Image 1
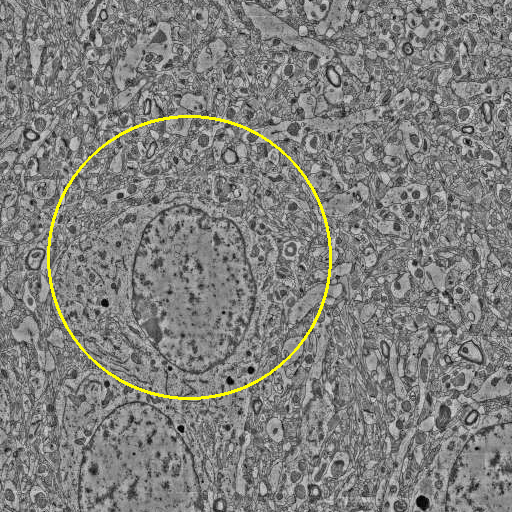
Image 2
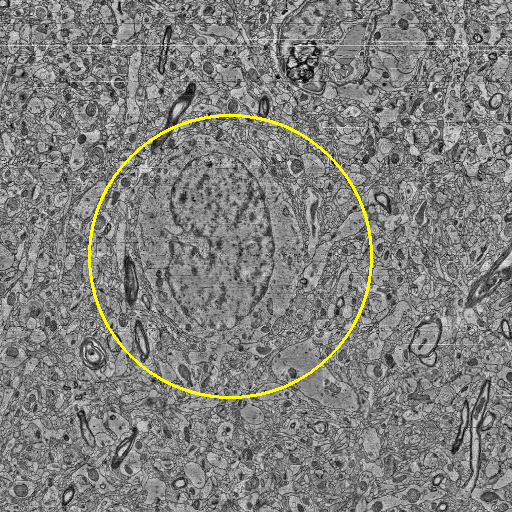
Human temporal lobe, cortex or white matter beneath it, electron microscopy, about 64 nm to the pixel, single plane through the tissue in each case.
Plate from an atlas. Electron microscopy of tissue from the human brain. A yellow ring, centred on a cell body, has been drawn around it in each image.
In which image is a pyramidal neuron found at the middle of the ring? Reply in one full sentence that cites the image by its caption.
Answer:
The requested cell is the one at the ring's centre in Image 1.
